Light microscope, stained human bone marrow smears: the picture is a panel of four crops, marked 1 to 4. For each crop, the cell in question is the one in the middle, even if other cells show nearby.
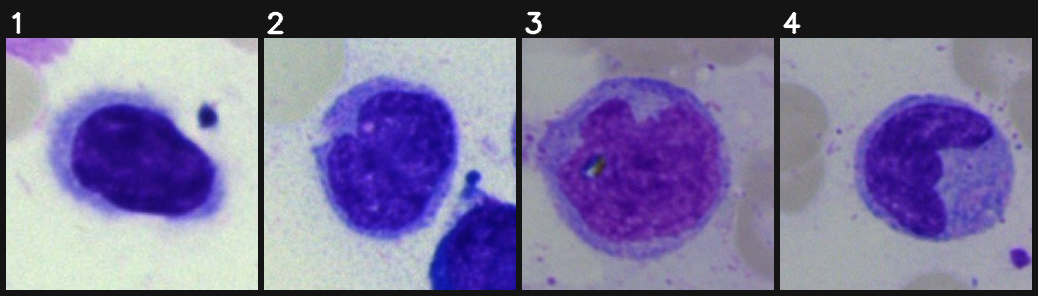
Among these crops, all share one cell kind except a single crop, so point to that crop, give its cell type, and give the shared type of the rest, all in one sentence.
Crop 1, showing a lymphocyte, is the exception; the others all show monocytes.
